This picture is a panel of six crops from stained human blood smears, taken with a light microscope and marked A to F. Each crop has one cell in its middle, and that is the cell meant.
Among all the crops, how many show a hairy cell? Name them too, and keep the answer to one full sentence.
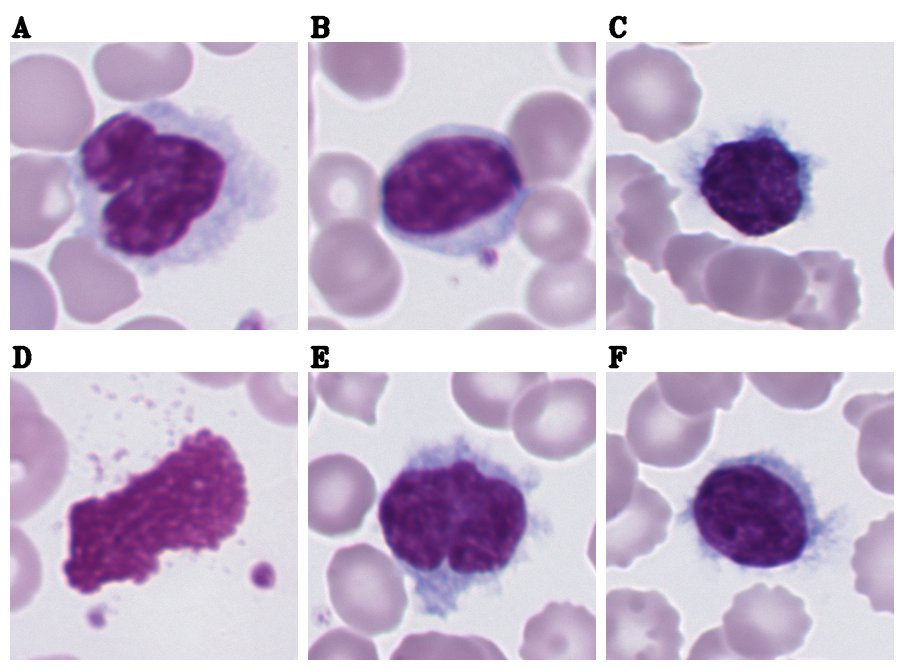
Where hairy cells are concerned, four crops show them, namely A, C, E and F.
